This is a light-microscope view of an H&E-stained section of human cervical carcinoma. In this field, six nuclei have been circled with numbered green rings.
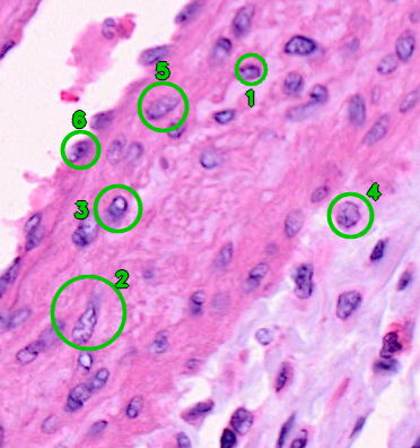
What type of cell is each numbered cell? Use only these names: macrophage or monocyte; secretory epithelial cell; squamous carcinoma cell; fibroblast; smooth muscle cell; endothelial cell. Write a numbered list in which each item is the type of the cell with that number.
1. smooth muscle cell
2. smooth muscle cell
3. smooth muscle cell
4. macrophage or monocyte
5. smooth muscle cell
6. endothelial cell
